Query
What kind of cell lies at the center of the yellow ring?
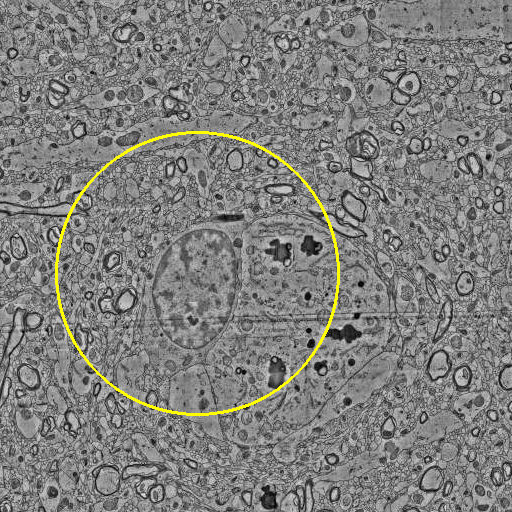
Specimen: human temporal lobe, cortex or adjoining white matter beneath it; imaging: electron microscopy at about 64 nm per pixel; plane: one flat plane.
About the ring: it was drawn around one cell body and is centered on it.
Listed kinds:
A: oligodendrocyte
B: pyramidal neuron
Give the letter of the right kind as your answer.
A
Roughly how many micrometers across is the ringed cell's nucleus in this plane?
The ringed cell's nucleus is roughly 8 by 5 micrometres and clearly longer than it is wide in this plane.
